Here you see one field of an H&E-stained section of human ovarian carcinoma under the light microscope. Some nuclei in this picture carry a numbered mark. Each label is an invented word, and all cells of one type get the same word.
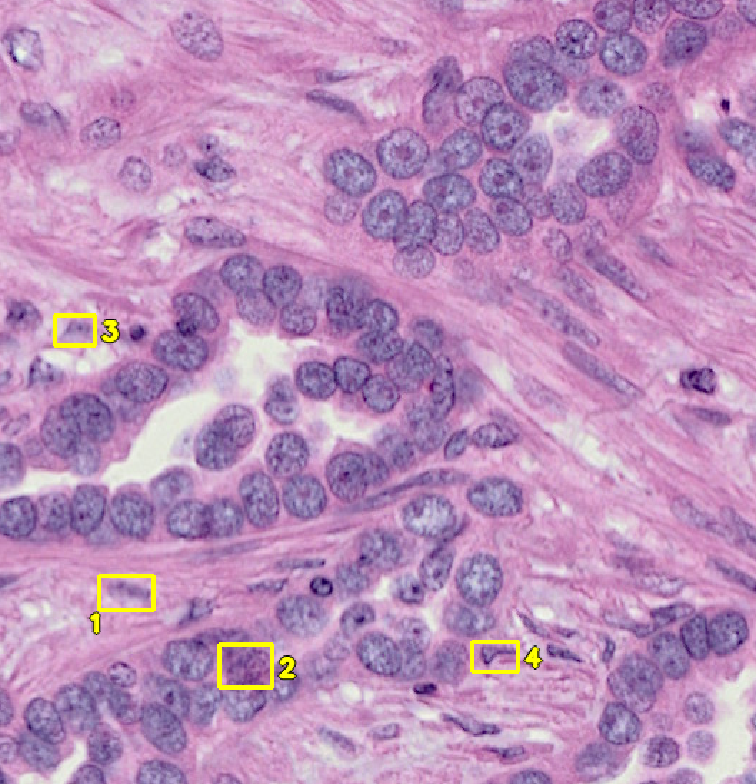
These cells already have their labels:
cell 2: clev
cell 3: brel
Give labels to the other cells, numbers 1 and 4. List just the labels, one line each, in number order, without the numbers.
brel
brel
